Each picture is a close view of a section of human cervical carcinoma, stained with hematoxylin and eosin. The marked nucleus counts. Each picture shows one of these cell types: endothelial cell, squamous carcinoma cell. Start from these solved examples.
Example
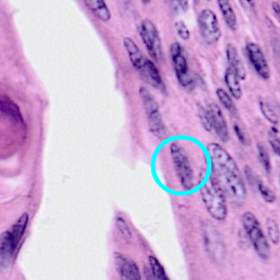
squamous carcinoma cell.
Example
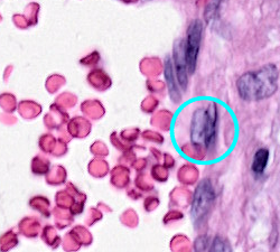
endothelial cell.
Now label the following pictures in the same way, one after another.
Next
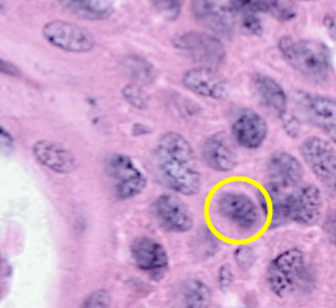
squamous carcinoma cell.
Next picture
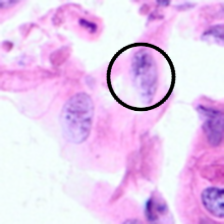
squamous carcinoma cell.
